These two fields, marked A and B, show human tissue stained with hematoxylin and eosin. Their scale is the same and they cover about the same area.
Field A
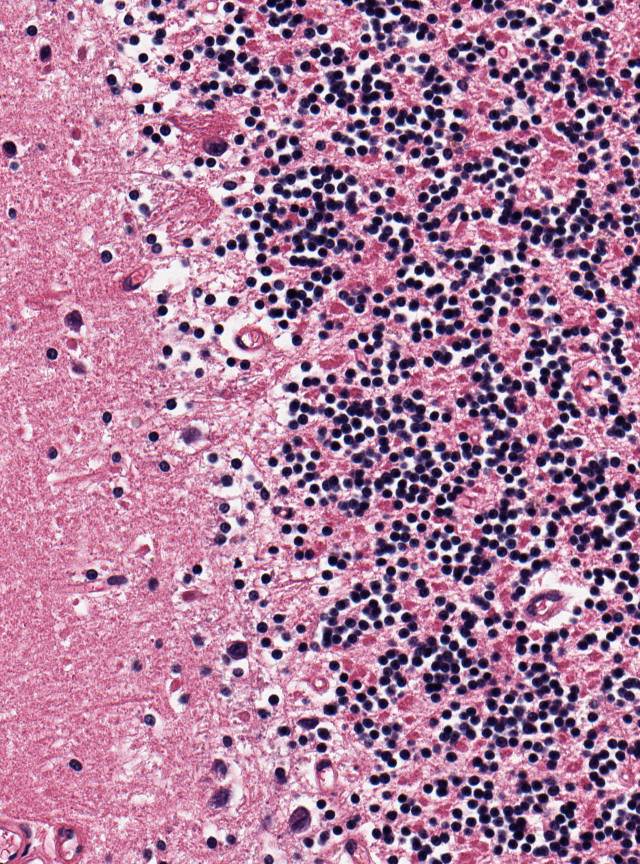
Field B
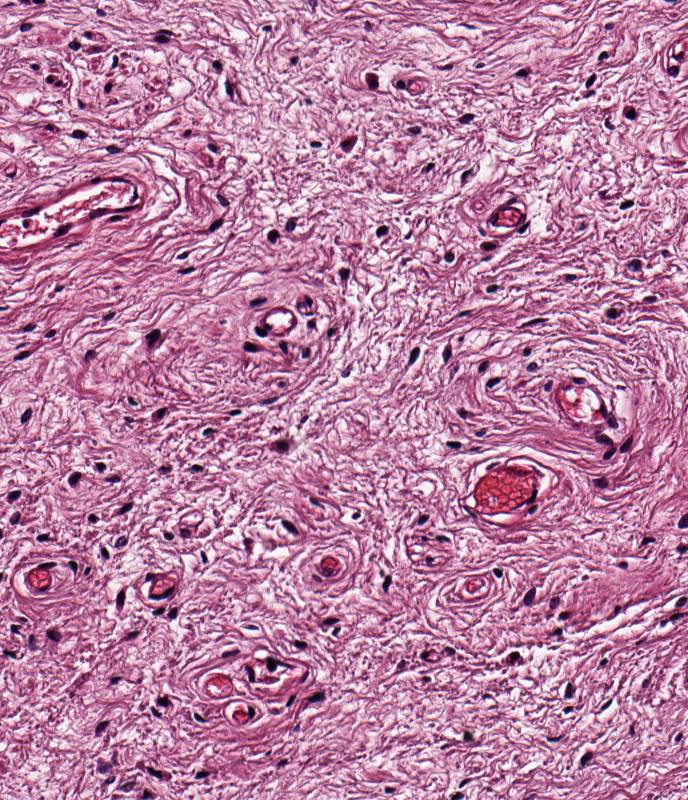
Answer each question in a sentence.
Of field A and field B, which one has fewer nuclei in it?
Field B holds fewer nuclei than field A.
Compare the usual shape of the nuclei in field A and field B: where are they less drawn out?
It is field A whose nuclei are the rounder.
